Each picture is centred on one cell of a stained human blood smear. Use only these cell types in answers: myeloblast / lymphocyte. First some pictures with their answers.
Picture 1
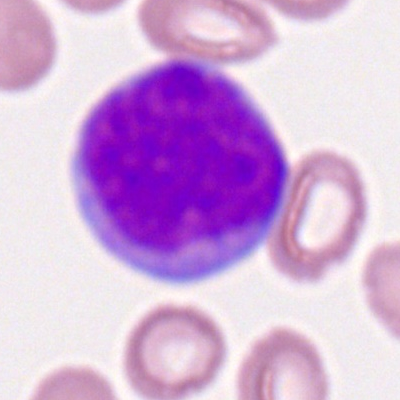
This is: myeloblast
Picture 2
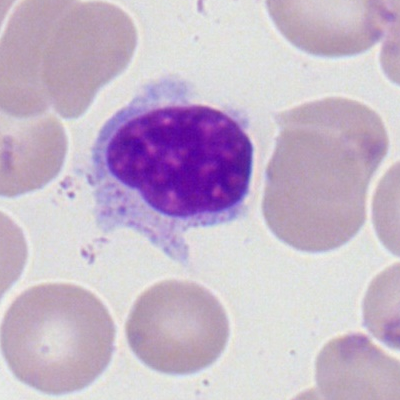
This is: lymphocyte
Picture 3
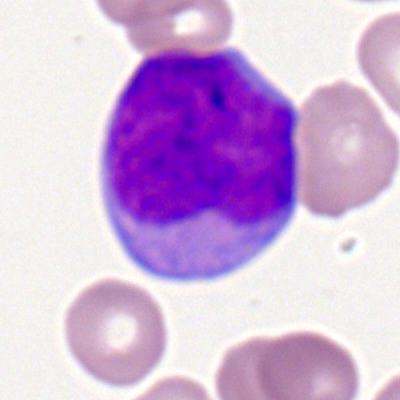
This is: myeloblast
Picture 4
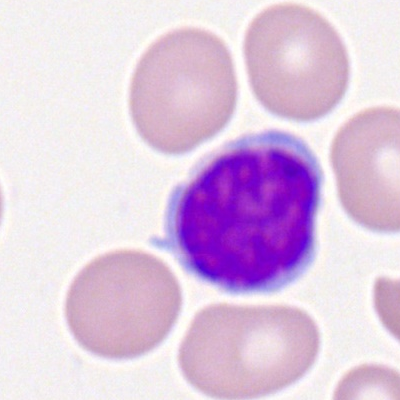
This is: lymphocyte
